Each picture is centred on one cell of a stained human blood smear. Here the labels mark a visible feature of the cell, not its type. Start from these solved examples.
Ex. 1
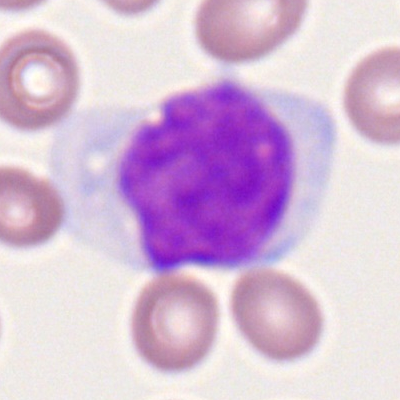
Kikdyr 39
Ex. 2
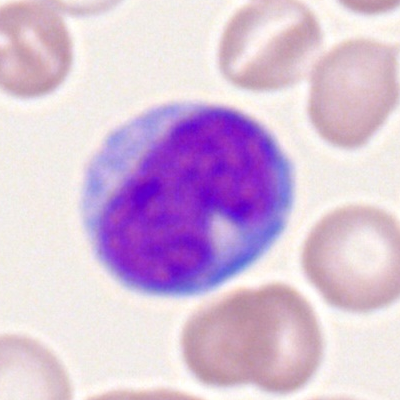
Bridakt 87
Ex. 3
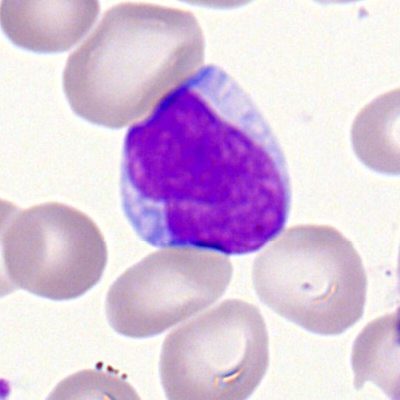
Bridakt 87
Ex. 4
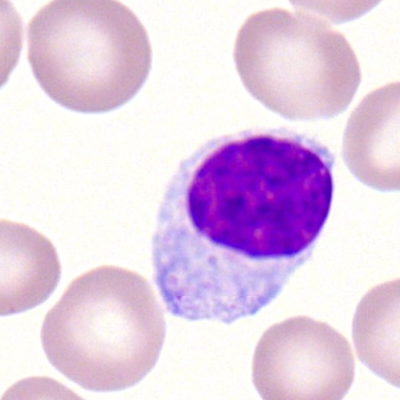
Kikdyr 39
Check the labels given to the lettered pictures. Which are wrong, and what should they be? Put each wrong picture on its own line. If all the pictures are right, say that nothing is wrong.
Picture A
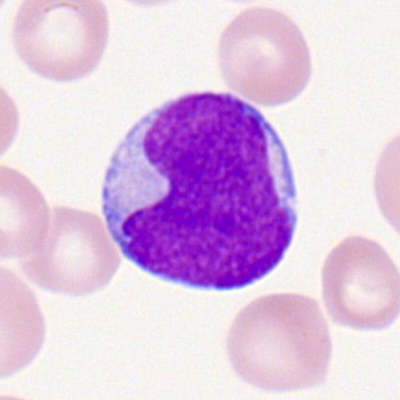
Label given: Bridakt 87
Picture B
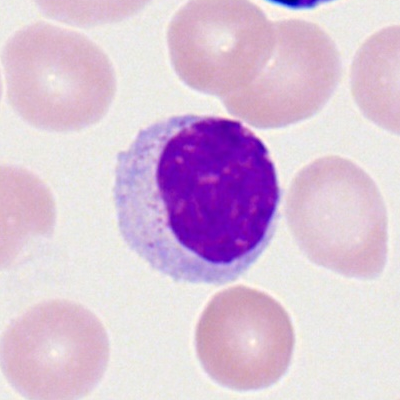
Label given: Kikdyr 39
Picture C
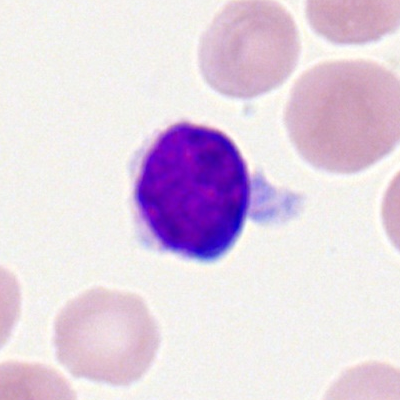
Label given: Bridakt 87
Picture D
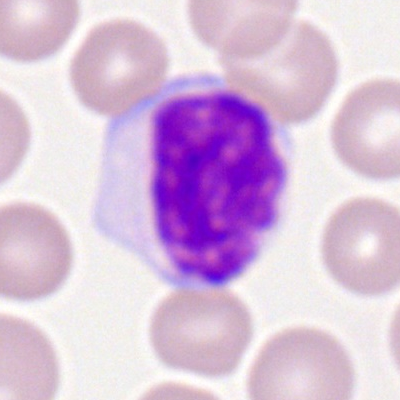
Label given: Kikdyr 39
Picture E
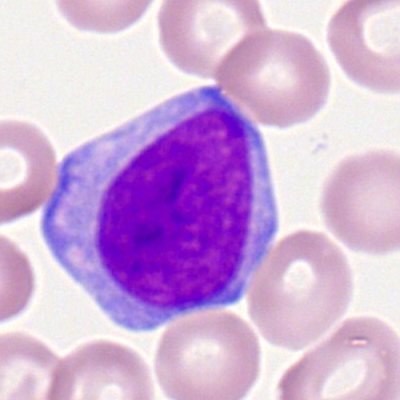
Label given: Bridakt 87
E is labelled Bridakt 87; correct label: Kikdyr 39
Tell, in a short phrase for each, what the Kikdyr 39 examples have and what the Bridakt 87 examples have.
Kikdyr 39, abundant cytoplasm; Bridakt 87, scant cytoplasm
